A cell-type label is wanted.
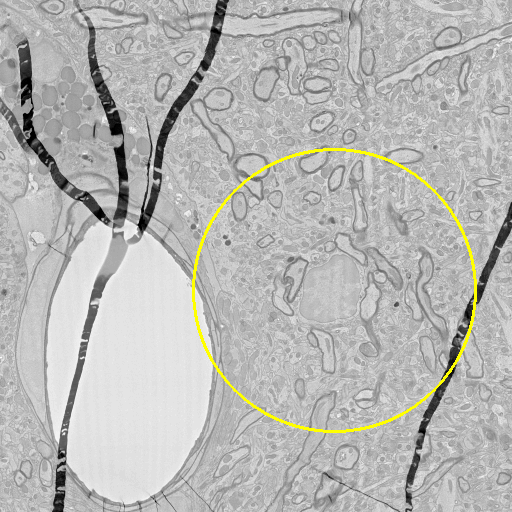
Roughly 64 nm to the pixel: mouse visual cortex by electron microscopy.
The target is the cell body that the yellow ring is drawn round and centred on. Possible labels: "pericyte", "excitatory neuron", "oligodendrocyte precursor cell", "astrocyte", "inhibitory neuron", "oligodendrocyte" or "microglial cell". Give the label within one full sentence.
Of the labels offered, the cell in the middle of the yellow ring is a microglial cell.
